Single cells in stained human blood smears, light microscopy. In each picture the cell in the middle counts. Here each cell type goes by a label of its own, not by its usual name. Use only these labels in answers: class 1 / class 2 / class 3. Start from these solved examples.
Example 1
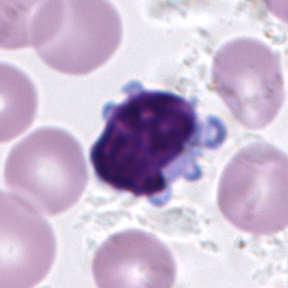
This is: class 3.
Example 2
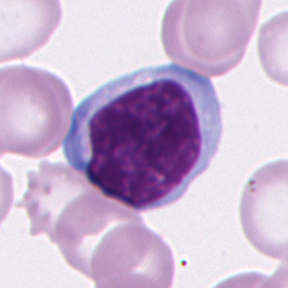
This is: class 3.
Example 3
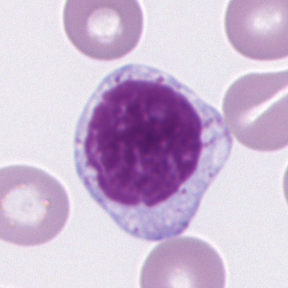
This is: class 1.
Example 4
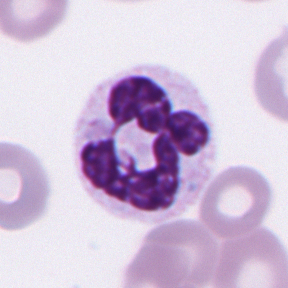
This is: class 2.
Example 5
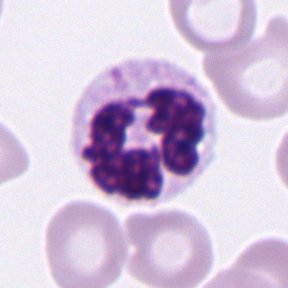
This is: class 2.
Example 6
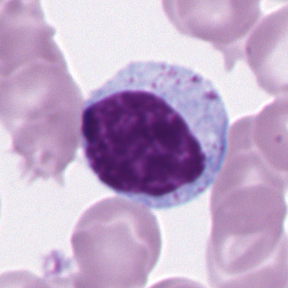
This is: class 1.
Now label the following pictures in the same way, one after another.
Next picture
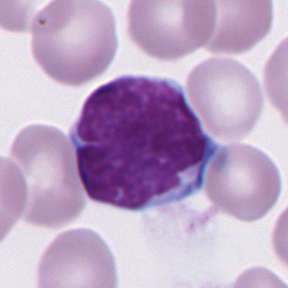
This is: class 3.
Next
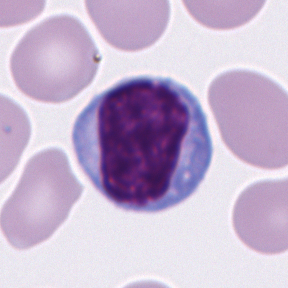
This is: class 3.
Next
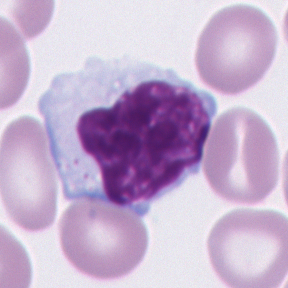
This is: class 1.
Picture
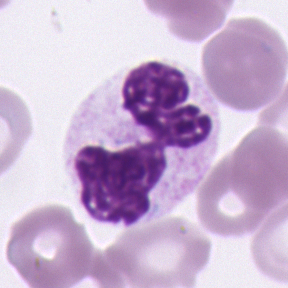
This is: class 2.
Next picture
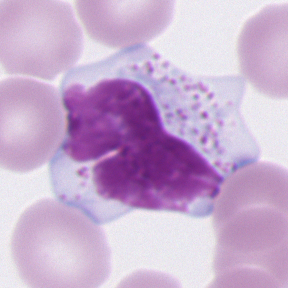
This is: class 1.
